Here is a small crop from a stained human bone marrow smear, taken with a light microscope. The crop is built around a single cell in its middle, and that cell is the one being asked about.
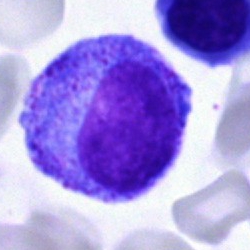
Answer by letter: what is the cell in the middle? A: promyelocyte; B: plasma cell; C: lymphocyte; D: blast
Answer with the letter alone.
A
